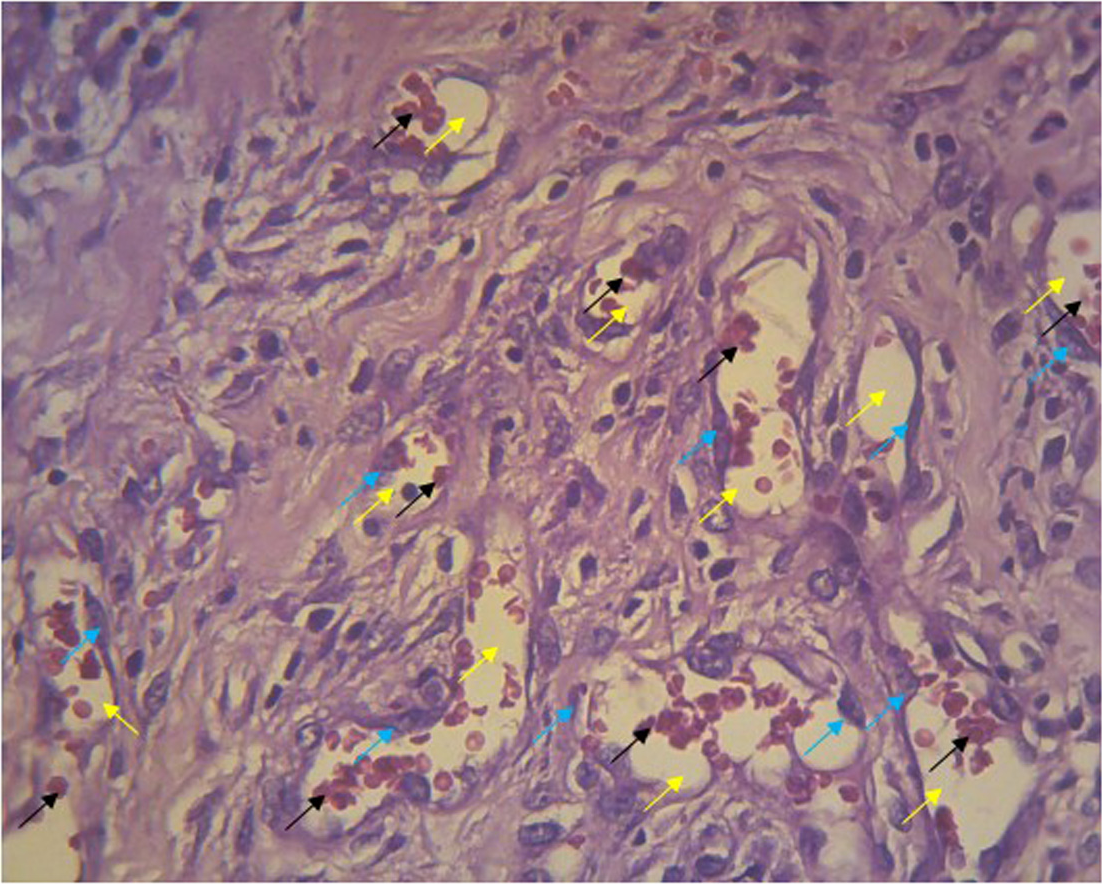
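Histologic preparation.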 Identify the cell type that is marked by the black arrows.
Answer: erythrocytes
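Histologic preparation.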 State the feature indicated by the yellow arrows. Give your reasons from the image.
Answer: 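Pale, cleared, rounded or elongated spaces. Red anucleate cells lie within these spaces. Each space is rimmed by thin flattened cells. So: lumen vessels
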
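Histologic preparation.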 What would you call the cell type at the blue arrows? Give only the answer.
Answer: endothelial cells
